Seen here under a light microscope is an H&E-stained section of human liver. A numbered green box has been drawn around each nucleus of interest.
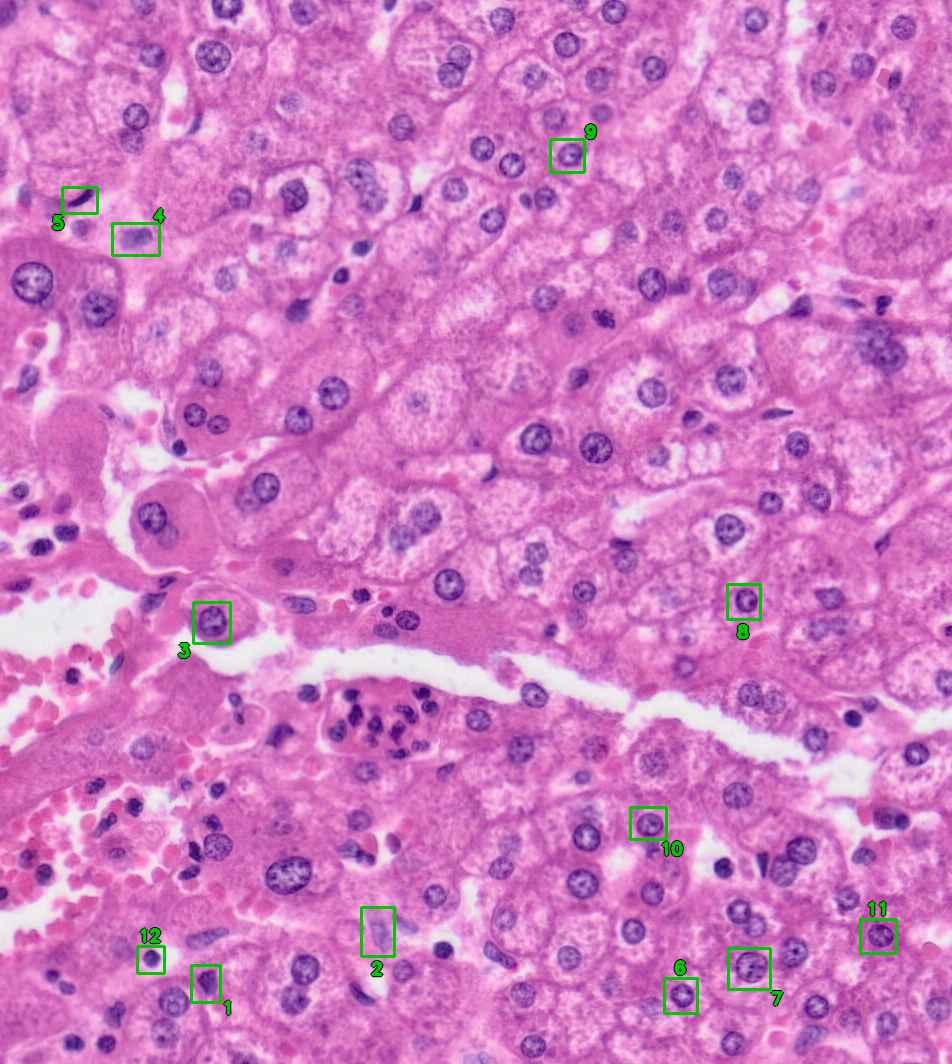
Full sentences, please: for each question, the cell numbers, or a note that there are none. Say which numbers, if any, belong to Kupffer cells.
Cell 2 is a Kupffer cell, and it is the only one.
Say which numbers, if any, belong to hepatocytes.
Cells 3, 6, 7, 8, 9, 10 and 11 are hepatocytes by cell type.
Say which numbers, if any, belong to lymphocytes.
The sole numbered cell that is a lymphocyte is cell 12.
